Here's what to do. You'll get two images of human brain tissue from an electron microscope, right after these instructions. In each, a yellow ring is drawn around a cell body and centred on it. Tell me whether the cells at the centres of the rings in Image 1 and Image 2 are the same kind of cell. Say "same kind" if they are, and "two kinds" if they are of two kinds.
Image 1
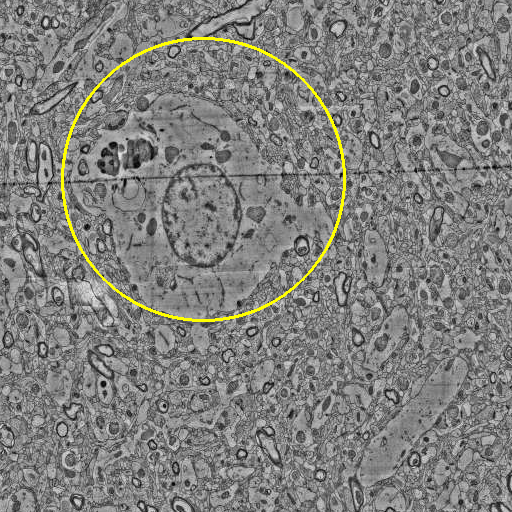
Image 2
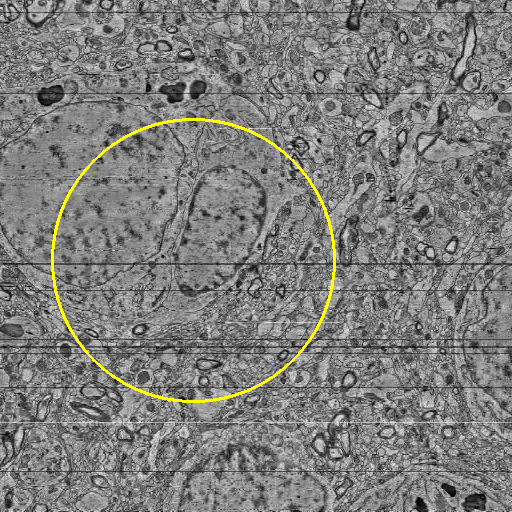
two kinds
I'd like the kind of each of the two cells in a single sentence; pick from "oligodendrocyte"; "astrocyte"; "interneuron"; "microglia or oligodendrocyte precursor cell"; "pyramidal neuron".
The first ring marks an astrocyte, and the second ring marks a microglial cell or oligodendrocyte precursor cell.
